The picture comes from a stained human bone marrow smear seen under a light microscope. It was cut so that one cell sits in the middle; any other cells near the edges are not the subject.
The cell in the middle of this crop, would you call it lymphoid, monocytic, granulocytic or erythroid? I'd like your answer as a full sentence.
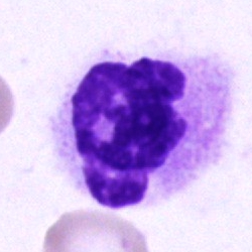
Classified by lineage, the middle cell is granulocytic.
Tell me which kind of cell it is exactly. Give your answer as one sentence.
The central element of this crop is a cell, namely a segmented neutrophil.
